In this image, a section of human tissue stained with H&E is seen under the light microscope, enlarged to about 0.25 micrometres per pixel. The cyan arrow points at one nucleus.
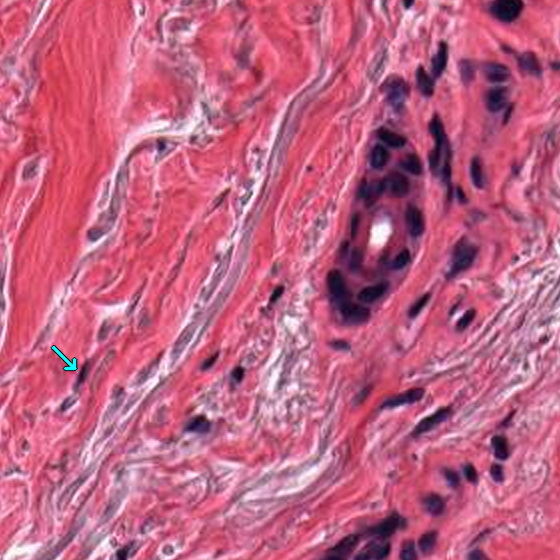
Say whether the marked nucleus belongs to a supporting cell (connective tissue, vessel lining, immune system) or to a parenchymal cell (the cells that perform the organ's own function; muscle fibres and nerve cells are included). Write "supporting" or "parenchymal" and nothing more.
supporting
